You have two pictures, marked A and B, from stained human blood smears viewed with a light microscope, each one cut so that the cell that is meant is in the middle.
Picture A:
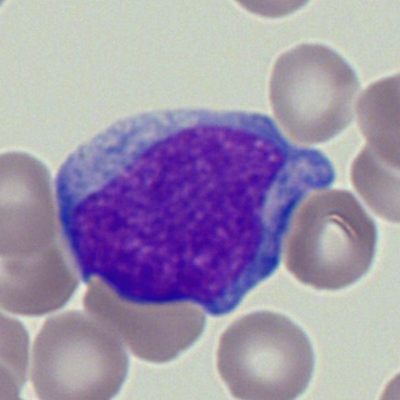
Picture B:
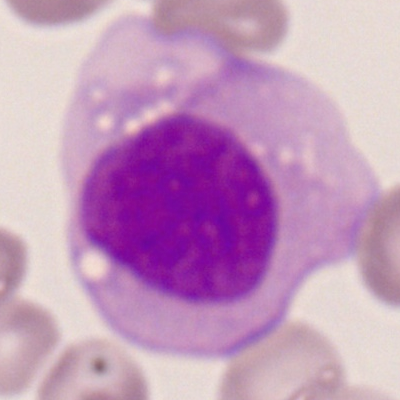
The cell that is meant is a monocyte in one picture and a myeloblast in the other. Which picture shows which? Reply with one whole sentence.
The cell in picture A is a myeloblast, and the one in picture B is a monocyte.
